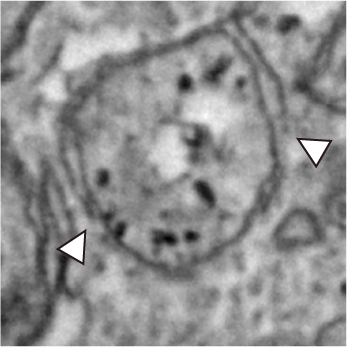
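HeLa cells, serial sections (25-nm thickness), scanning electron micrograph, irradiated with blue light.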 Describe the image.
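One section through a single rounded mitochondrion is shown at very high magnification. Its matrix contains scattered small dark granules and few cristae, and it is enclosed by a membrane, while a thin outer membrane sheet ends freely at either side instead of wrapping the whole organelle.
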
